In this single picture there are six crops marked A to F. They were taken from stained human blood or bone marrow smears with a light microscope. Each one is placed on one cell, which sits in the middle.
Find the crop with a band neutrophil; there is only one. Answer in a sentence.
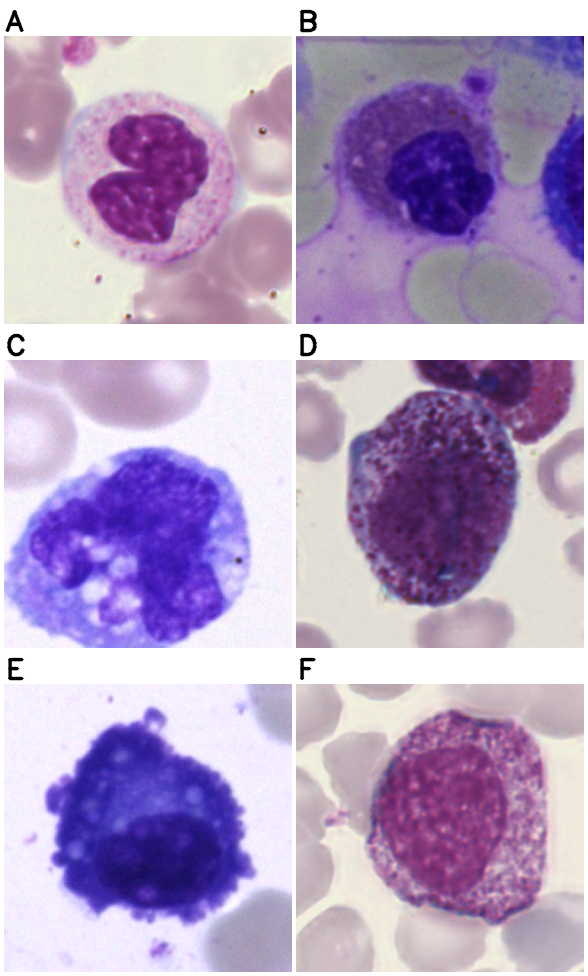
Crop A is the crop whose central cell is a band neutrophil.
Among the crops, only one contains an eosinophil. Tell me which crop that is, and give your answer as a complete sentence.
Crop B, and no other, is the one that shows an eosinophil.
